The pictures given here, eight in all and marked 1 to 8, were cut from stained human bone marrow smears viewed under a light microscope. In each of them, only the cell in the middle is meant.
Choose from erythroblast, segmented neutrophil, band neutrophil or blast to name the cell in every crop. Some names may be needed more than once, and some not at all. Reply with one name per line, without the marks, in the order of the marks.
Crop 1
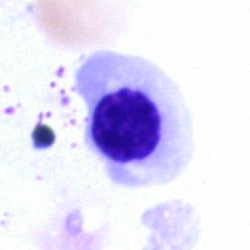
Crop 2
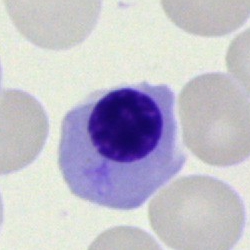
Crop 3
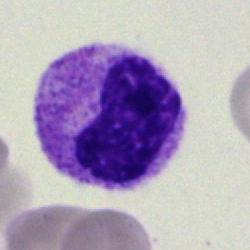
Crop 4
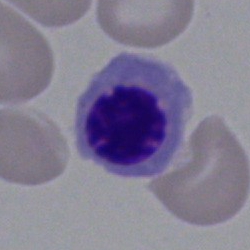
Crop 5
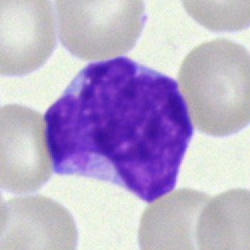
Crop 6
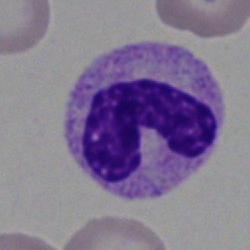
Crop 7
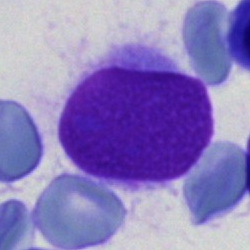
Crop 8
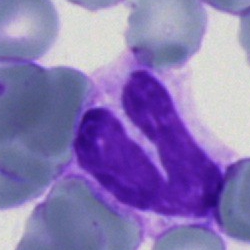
erythroblast
erythroblast
band neutrophil
erythroblast
blast
band neutrophil
blast
band neutrophil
